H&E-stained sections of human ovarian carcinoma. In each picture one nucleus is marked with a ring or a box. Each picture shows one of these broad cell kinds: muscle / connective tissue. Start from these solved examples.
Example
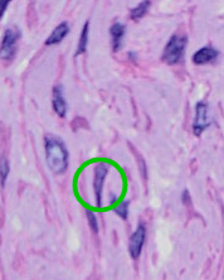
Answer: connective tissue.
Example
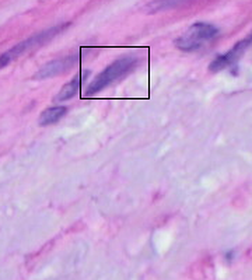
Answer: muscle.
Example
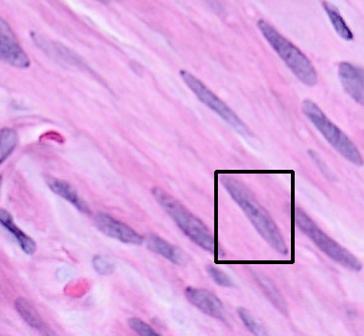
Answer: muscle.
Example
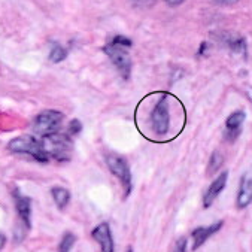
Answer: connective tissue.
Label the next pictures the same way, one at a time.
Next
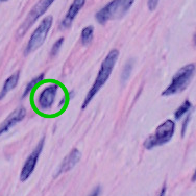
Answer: muscle.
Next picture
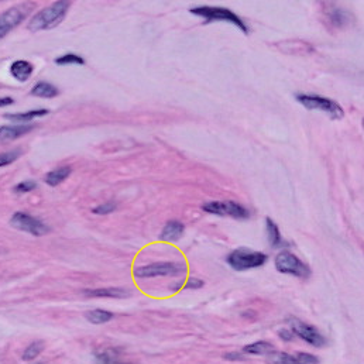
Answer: muscle.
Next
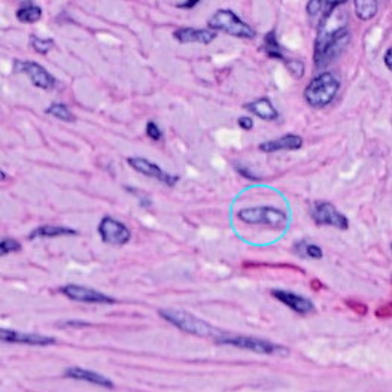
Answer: connective tissue.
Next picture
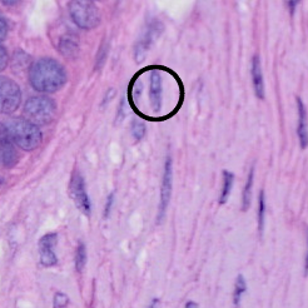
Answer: connective tissue.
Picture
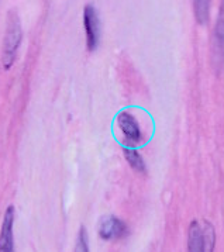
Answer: muscle.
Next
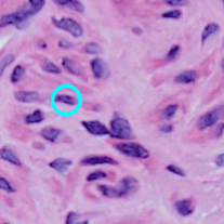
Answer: muscle.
